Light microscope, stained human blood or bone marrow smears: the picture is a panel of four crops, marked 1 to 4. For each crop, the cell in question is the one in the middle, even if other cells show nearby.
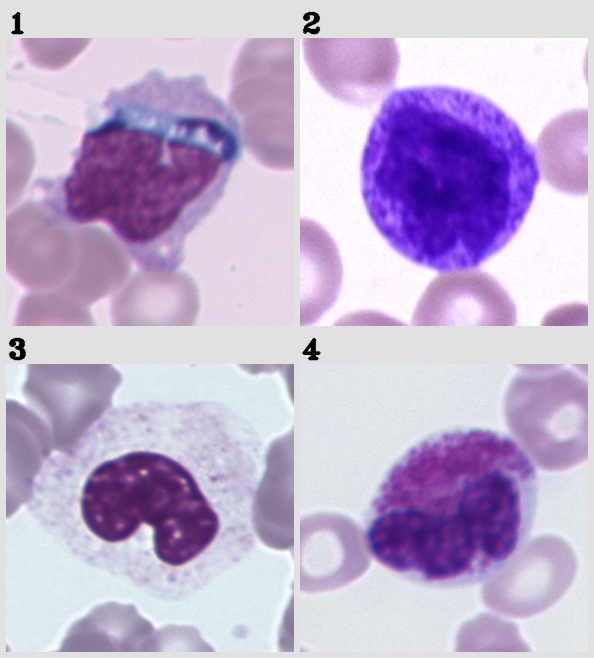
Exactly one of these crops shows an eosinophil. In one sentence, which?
It is crop 4, not any other, that shows an eosinophil.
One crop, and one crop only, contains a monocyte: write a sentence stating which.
Identified crop: 1, the one that shows a monocyte.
